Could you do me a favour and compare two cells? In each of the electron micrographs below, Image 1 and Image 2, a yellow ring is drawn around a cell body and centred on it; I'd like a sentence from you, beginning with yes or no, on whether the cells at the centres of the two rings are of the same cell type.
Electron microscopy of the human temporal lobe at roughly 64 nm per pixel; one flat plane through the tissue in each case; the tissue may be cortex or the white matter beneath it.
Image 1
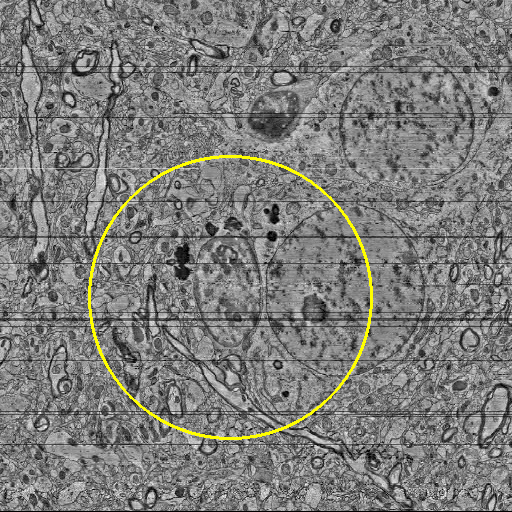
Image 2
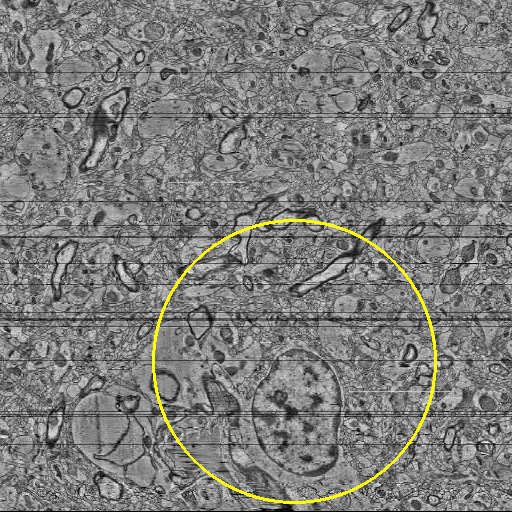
No, the two cells are of two cell types.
